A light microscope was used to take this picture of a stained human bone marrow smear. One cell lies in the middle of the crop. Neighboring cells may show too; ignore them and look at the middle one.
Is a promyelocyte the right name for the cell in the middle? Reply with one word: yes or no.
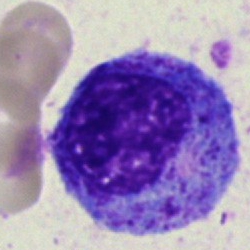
yes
